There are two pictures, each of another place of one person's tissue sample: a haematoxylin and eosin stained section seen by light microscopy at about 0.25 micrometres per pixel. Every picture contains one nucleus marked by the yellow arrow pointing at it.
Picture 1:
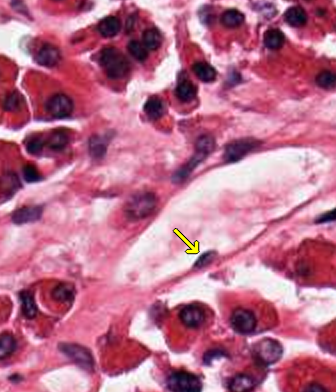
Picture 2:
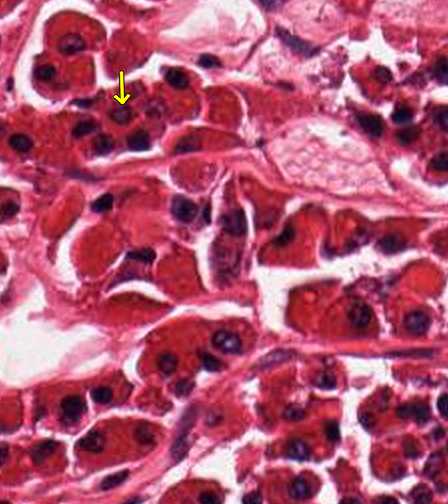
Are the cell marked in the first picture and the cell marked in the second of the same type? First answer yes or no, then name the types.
No, the first is an endothelial cell and the second an anterior pituitary cell.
